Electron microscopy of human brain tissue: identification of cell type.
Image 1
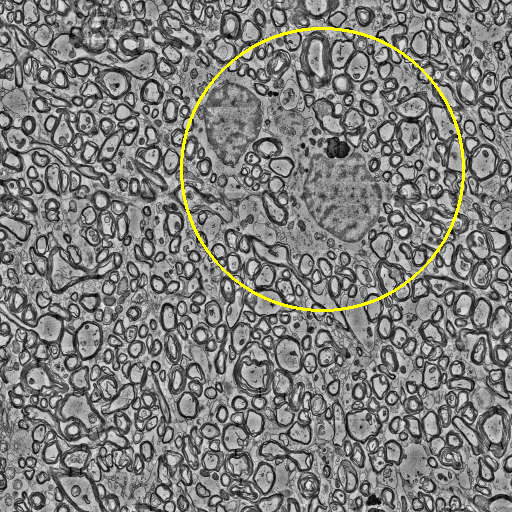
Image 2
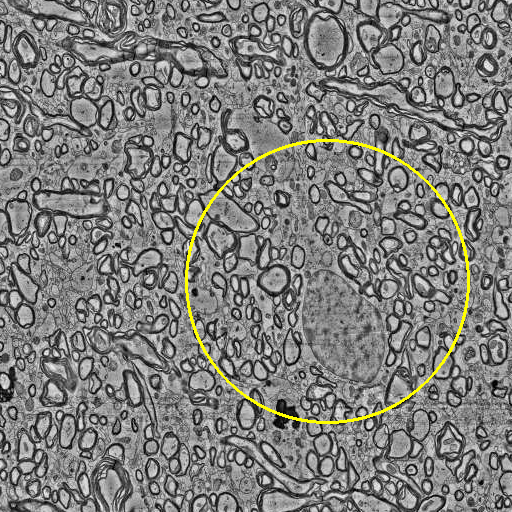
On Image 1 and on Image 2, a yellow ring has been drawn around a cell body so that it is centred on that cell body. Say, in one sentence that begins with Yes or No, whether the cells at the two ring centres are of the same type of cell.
No, the two cells are two separate types of cell.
